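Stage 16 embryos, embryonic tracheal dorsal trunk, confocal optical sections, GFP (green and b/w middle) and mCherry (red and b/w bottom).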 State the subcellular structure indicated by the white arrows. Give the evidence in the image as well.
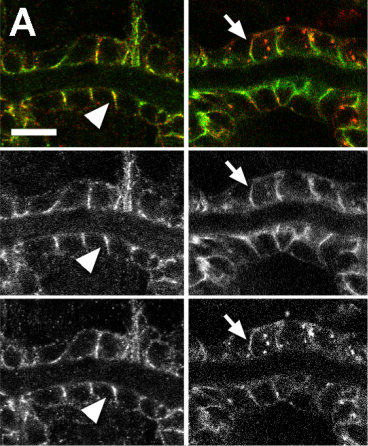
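The arrows point to lines separating adjacent cells of the epithelial tube wall.
Lateral membrane.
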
